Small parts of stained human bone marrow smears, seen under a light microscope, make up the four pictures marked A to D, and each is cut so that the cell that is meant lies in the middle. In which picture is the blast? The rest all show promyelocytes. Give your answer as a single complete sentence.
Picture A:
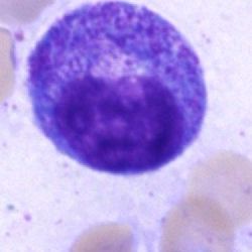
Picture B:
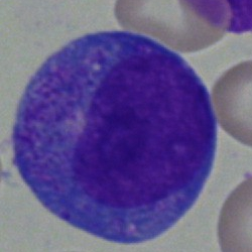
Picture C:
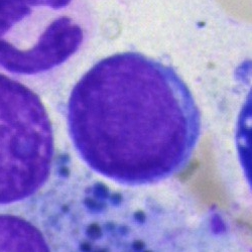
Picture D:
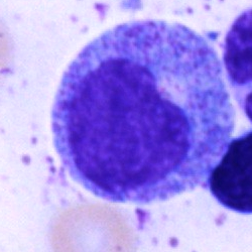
Picture C is the one that shows the blast.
